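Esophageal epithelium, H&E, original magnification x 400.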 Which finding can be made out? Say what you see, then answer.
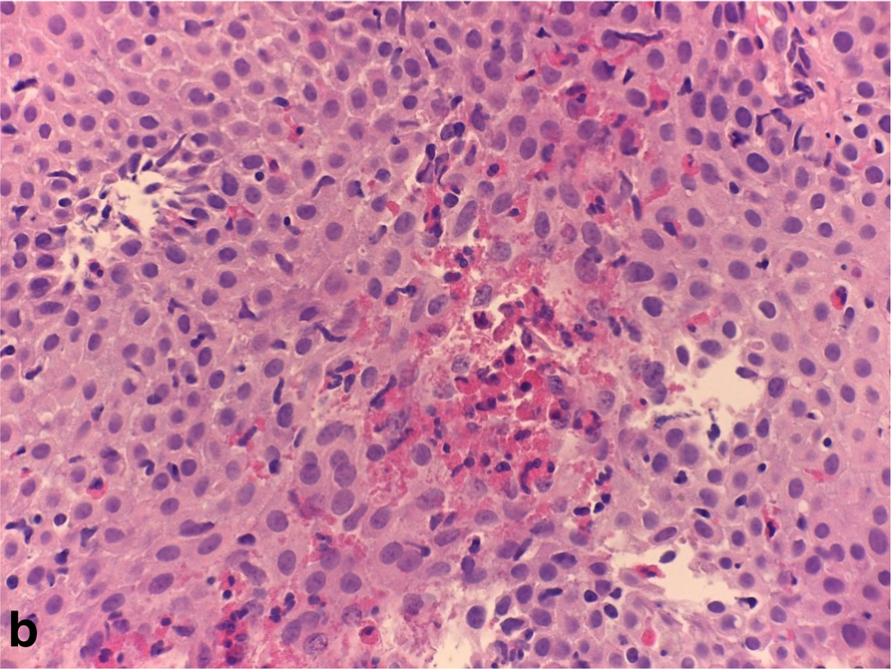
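In the centre a dense cluster of cells with bright red granular cytoplasm lies within the epithelium. The clustered cells have small dark lobed nuclei. Pale squamous epithelial cells surround the cluster.
Conclusion: micro-abscesses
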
